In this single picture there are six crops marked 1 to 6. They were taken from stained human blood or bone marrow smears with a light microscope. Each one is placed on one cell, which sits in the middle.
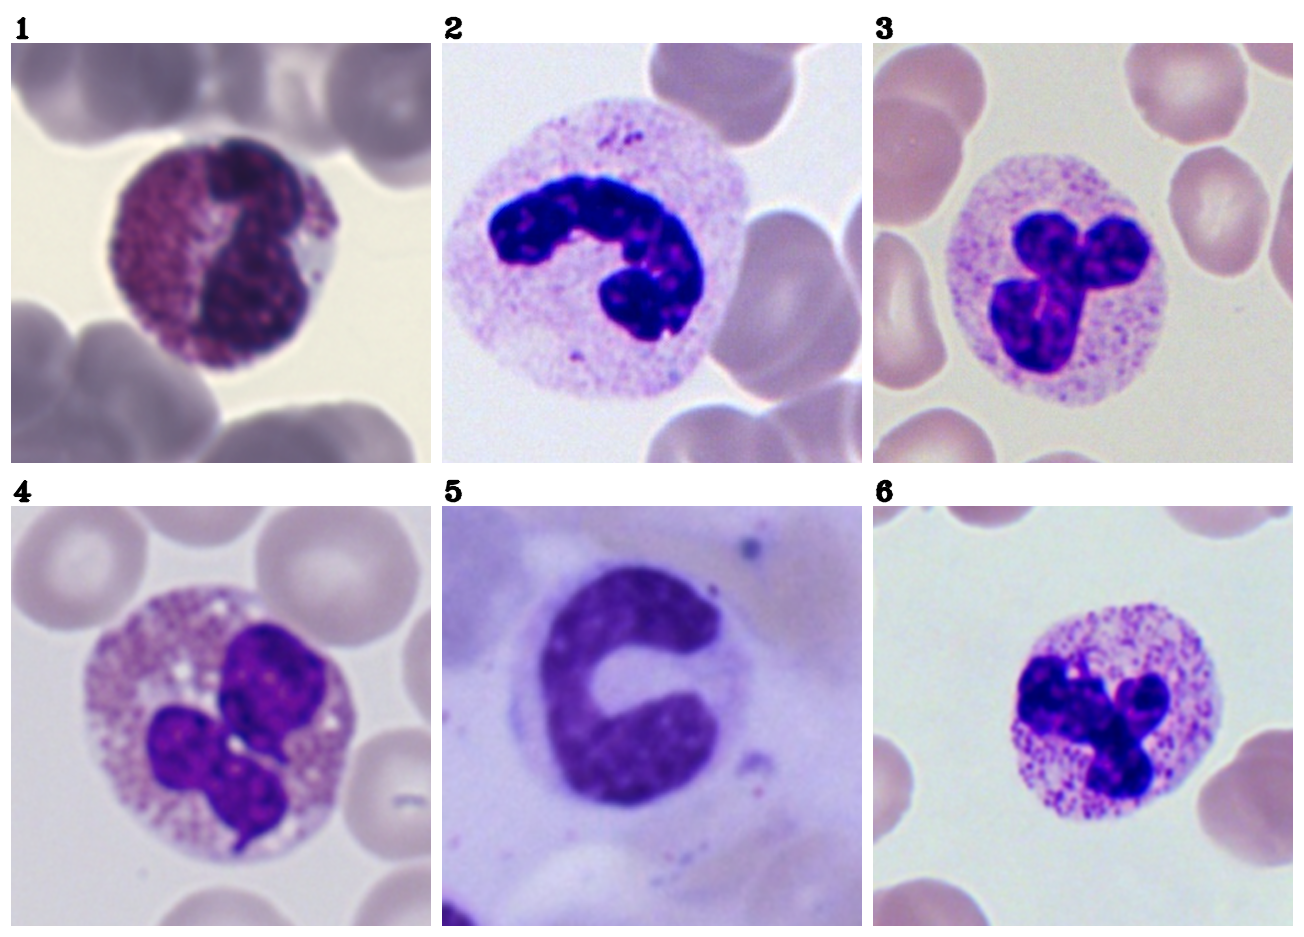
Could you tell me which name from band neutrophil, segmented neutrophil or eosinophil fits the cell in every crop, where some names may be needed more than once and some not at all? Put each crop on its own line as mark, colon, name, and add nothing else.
1: eosinophil
2: band neutrophil
3: segmented neutrophil
4: eosinophil
5: band neutrophil
6: segmented neutrophil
